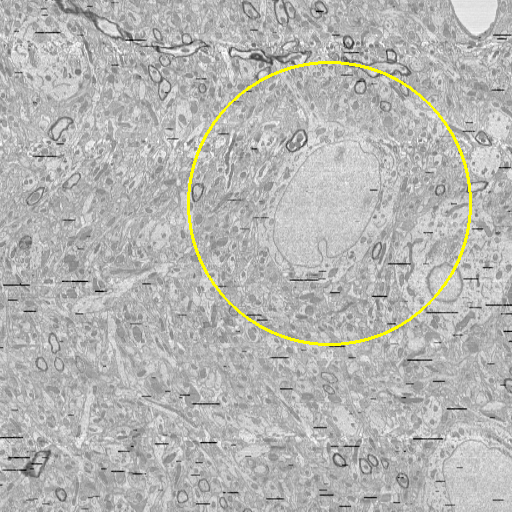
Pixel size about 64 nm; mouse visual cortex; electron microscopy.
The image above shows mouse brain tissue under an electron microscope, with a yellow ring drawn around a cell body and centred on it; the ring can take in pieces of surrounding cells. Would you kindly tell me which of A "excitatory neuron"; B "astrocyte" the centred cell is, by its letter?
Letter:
A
